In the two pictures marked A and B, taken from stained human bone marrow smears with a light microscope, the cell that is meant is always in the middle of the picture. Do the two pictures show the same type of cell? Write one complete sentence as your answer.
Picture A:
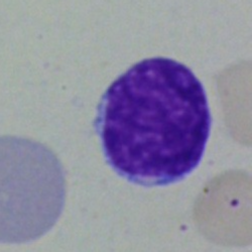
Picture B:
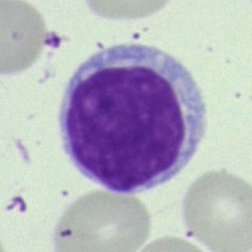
Yes, both cells are lymphocytes.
